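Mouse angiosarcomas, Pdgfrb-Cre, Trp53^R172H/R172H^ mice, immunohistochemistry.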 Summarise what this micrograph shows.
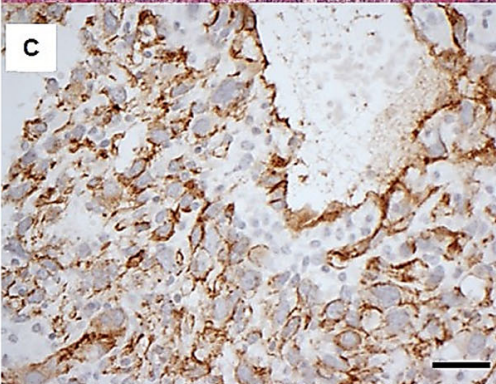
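Tumour cells with brown staining along their membranes, outlining the cells and lining irregular open spaces. Nuclei are pale blue, oval to rounded and of varying size.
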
